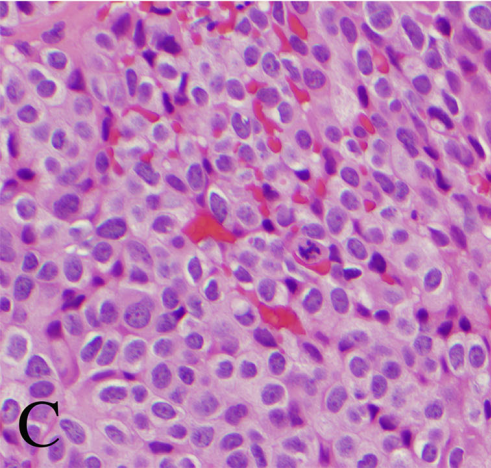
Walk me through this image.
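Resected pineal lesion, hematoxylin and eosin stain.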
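Nuclei are round to oval, variably sized, some darker and more angular than others. Cytoplasm is scant to moderate and pale pink. Small red capillary lumina with erythrocytes run between the cells. Near the centre a mitotic figure shows clumped dark chromosomes.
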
